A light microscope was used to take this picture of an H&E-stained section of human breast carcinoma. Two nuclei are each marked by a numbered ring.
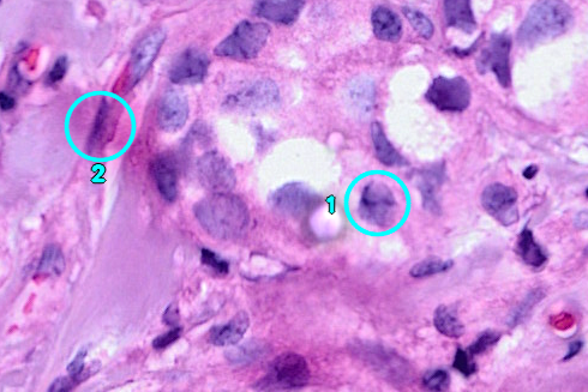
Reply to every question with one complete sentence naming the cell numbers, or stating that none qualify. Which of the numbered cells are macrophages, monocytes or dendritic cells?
The numbered cells do not include any macrophages, monocytes or dendritic cells.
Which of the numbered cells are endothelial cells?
Of the numbered nuclei, only the one labelled 2 belongs to an endothelial cell.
